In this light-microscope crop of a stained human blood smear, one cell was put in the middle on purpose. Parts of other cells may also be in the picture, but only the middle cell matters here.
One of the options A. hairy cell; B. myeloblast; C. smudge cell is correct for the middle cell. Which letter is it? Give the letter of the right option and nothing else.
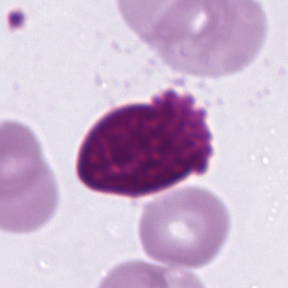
C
